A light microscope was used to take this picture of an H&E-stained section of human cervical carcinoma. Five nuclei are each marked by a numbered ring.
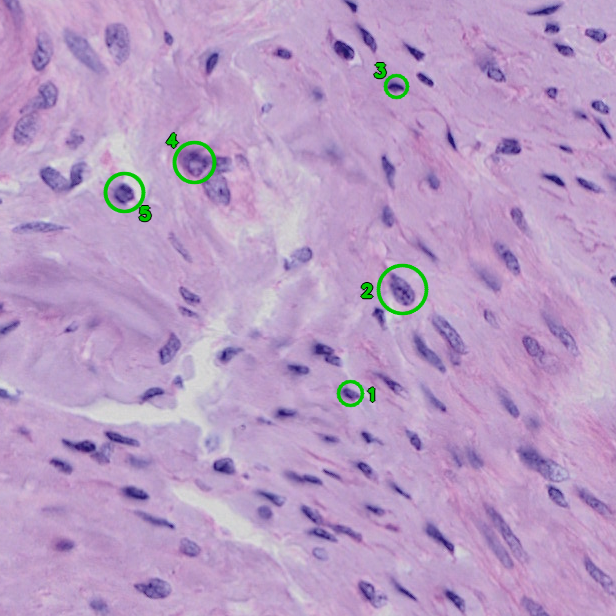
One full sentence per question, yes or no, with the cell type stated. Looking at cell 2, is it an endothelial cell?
No. Cell number 2 is a macrophage or monocyte, not an endothelial cell.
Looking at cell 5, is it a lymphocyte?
Yes, the cell marked with number 5 is a lymphocyte.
